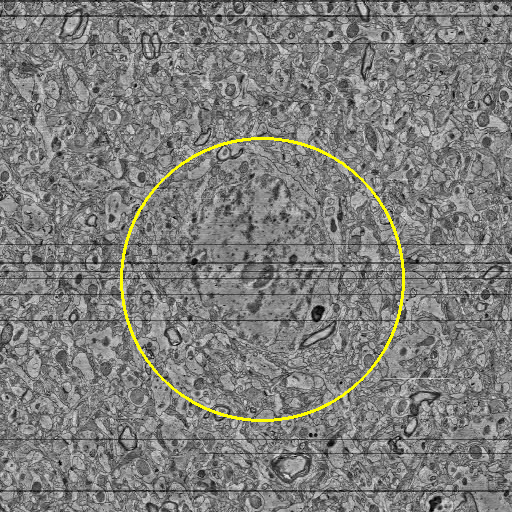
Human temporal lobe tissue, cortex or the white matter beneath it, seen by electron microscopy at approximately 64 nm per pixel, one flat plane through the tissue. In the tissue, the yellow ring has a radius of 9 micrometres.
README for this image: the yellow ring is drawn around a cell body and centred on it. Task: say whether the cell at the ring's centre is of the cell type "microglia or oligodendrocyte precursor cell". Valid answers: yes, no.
no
